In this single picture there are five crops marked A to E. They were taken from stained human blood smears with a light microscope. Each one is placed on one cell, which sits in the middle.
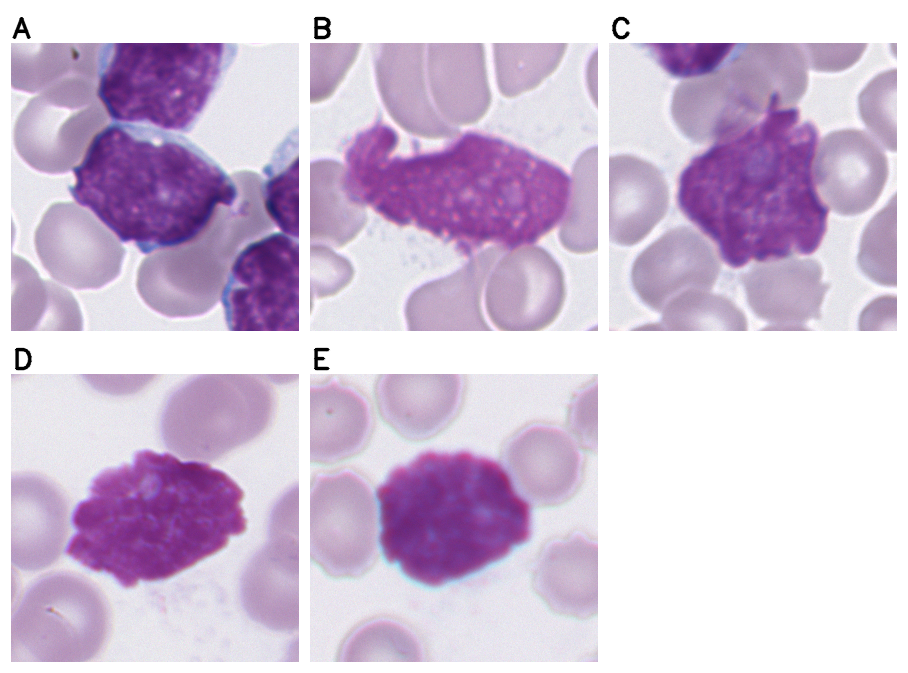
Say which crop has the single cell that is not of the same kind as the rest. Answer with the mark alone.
A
